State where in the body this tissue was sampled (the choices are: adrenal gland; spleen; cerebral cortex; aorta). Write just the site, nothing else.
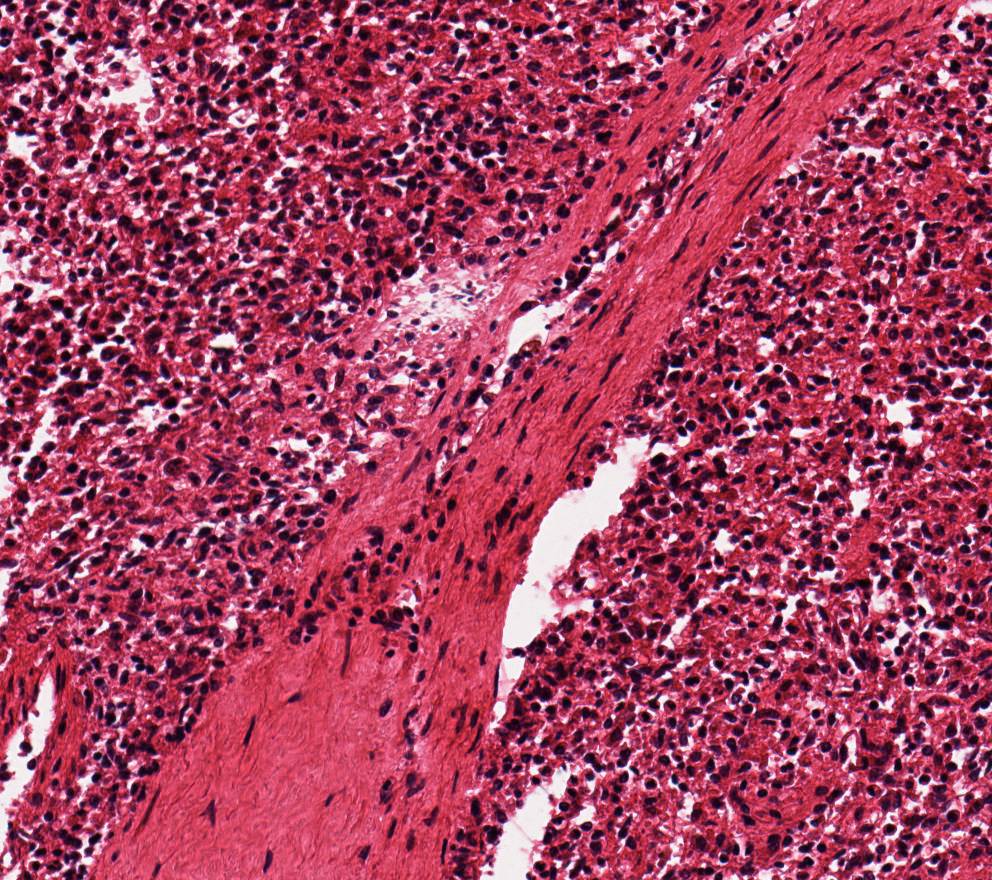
spleen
